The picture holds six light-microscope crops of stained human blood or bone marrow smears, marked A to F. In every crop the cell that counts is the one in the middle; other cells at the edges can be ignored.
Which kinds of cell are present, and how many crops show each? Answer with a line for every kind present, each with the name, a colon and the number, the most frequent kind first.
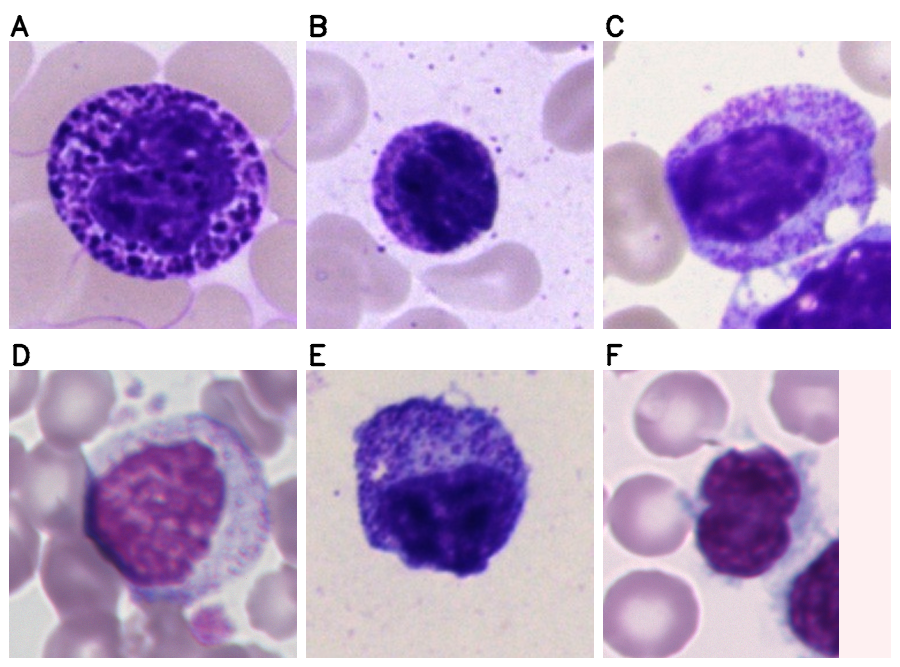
myelocyte: 3
basophil: 2
hairy cell: 1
